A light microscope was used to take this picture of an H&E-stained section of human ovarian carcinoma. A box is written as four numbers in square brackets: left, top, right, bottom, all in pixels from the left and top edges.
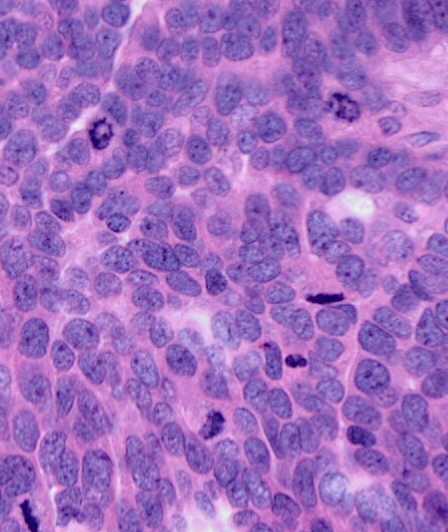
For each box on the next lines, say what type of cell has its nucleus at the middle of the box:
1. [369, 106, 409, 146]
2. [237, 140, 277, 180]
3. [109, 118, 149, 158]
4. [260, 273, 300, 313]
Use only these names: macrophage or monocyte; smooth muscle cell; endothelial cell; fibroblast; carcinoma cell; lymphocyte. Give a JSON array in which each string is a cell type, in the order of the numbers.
["macrophage or monocyte", "carcinoma cell", "carcinoma cell", "carcinoma cell"]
